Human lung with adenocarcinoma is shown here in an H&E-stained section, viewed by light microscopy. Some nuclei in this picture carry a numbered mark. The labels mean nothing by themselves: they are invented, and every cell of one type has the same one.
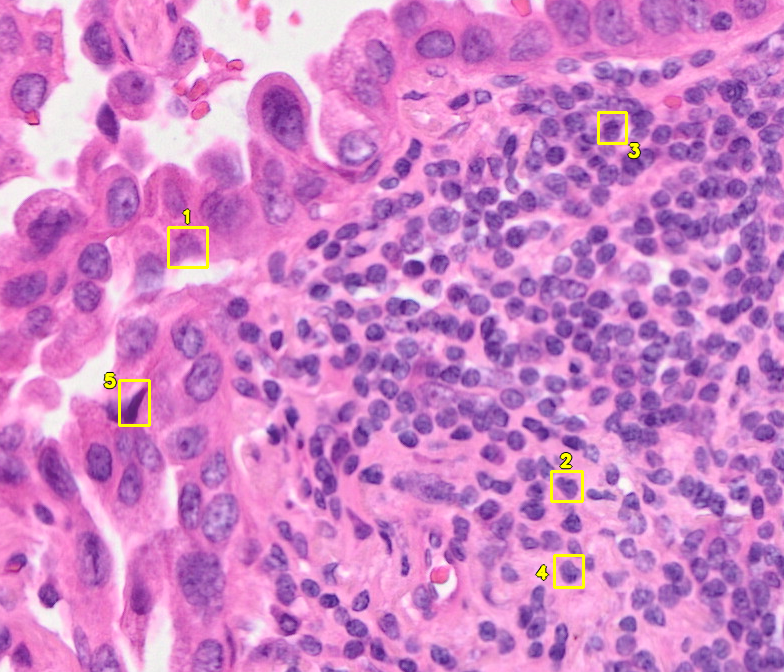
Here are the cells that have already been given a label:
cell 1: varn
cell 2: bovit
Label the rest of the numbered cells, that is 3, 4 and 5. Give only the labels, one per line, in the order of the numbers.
bovit
bovit
varn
